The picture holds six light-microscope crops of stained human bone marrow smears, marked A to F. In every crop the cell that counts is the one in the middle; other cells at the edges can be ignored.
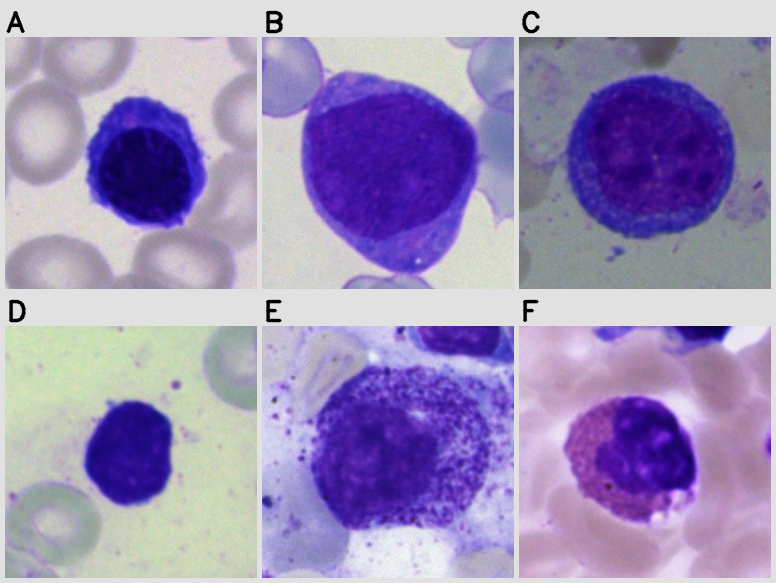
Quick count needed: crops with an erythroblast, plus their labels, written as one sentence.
Here, an erythroblast is shown in one crop only, namely crop A.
